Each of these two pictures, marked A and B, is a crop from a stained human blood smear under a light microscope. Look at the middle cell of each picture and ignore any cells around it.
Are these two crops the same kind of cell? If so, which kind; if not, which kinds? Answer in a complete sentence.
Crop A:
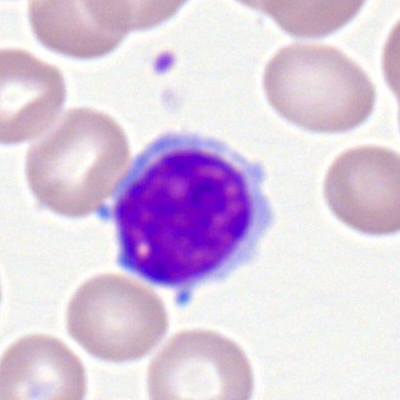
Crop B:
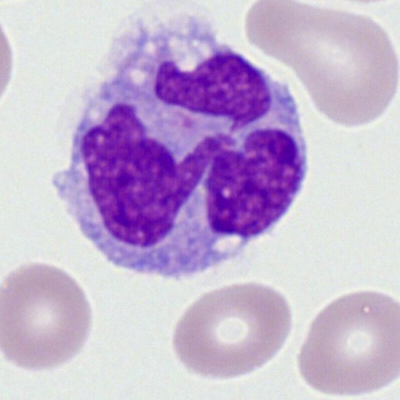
No, the cell shown in crop A is a lymphocyte, and the cell shown in crop B is a monocyte.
